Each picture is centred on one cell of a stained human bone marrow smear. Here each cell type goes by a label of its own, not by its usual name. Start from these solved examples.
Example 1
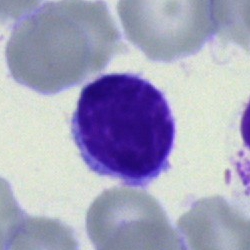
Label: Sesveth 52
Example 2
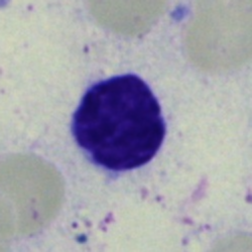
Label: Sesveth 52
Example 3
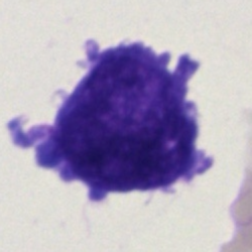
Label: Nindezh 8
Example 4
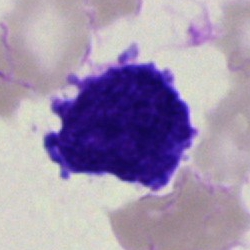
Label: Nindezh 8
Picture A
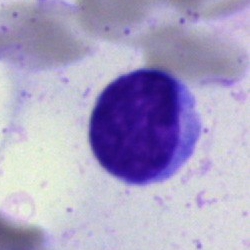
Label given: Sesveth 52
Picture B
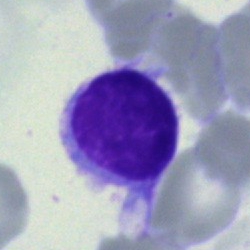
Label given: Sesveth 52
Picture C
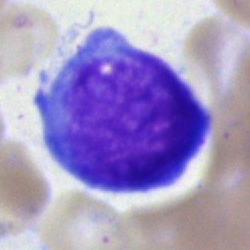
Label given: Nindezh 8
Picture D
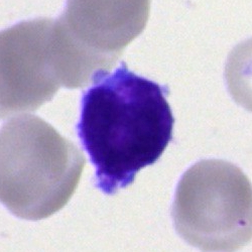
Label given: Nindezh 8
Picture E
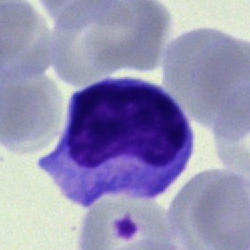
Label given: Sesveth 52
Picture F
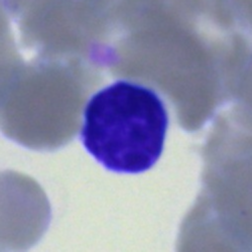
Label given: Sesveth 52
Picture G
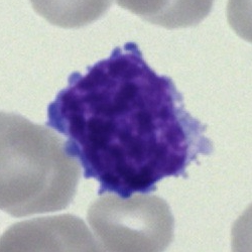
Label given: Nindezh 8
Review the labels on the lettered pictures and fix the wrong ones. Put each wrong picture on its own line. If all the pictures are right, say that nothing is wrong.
Every label is right.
